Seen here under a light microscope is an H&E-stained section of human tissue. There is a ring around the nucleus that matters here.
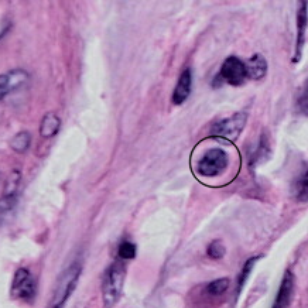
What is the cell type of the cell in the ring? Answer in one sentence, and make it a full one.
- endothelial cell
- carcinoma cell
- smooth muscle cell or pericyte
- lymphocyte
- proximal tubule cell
Cell type answer for this item: the cell in the ring is a lymphocyte.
